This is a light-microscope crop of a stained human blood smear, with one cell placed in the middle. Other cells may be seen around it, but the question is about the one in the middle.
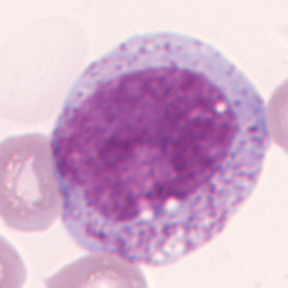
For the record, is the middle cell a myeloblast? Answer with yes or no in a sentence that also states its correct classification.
No, what is seen at the centre is a promyelocyte instead of a myeloblast.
